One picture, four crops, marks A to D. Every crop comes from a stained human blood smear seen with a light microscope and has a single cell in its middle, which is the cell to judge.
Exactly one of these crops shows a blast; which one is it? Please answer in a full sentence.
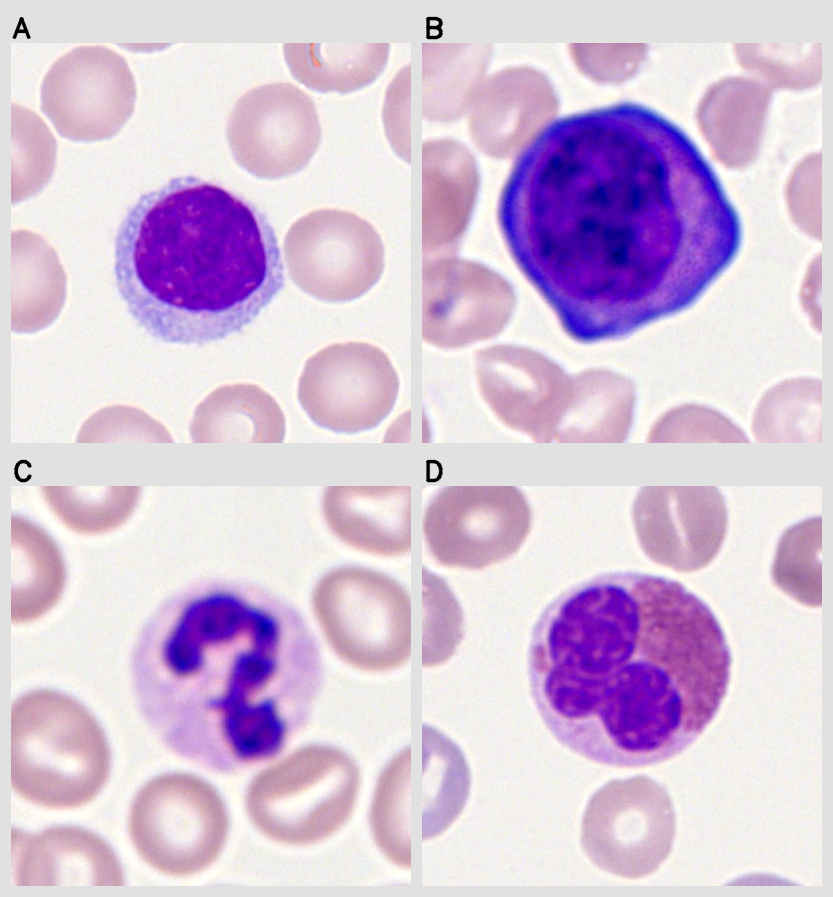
Crop B is the one to choose: it shows a blast.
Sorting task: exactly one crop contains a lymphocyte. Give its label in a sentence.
So the crop with a lymphocyte at its center is crop A.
